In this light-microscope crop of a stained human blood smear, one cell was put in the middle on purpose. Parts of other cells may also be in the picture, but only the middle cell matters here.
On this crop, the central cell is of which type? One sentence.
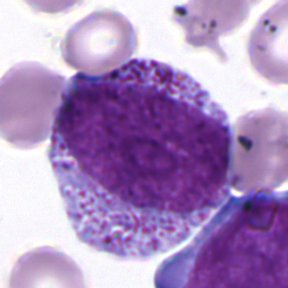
Where the crop is centred, there is a promyelocyte.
